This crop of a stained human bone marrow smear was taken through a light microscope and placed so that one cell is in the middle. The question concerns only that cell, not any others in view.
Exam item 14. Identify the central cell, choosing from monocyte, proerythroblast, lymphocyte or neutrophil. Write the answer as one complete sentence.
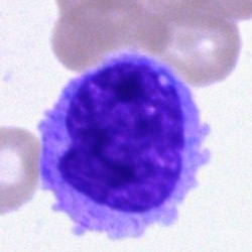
Framed in the middle of the crop is a monocyte.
